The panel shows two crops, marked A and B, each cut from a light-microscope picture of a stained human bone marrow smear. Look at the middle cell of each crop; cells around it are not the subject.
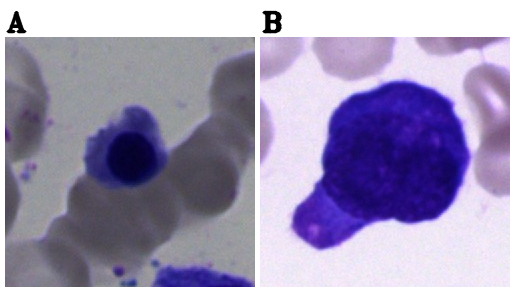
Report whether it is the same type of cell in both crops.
no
